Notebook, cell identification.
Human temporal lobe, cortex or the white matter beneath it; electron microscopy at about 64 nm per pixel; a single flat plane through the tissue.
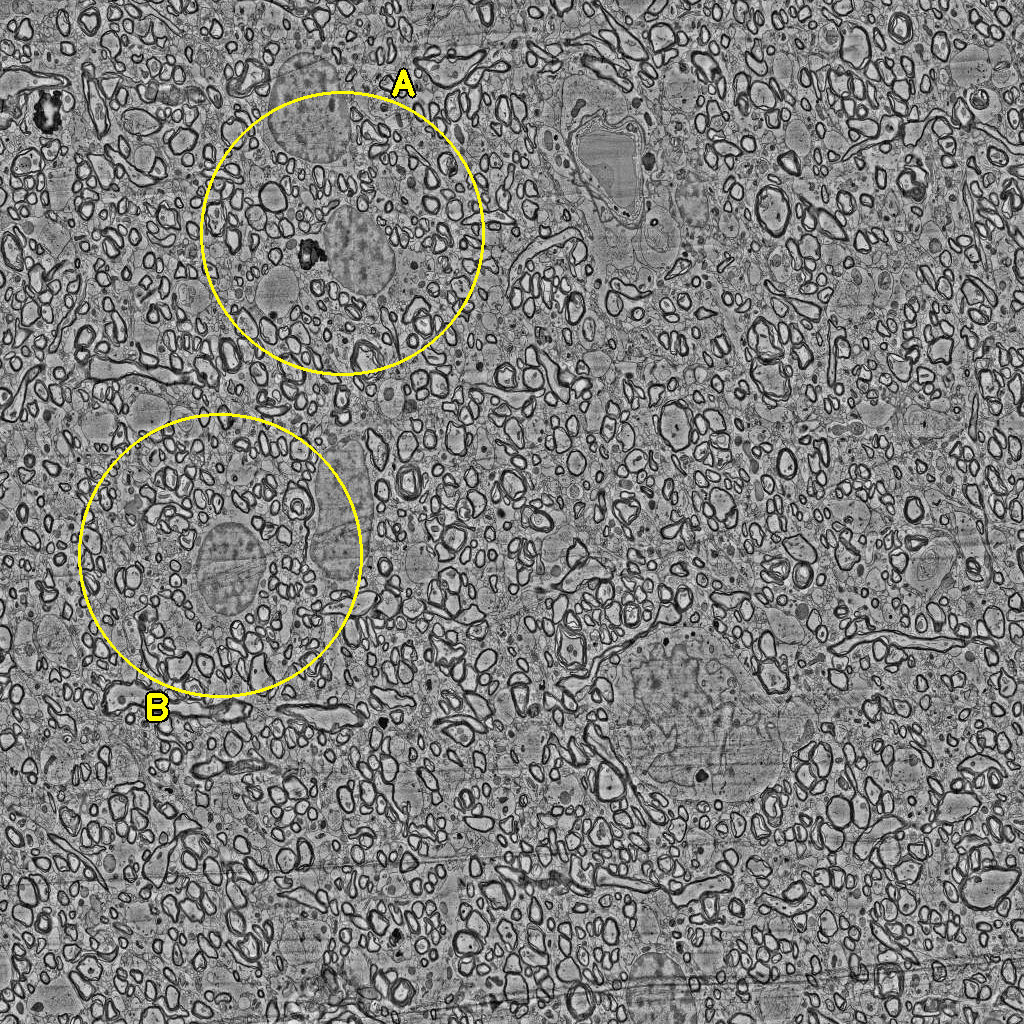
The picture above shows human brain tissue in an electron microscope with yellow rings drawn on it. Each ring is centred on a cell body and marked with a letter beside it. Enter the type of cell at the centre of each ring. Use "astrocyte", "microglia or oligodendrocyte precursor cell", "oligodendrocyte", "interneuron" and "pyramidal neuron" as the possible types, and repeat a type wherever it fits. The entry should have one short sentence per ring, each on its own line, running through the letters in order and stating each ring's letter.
The cell body in ring A belongs to an oligodendrocyte.
The cell body in ring B belongs to an oligodendrocyte.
